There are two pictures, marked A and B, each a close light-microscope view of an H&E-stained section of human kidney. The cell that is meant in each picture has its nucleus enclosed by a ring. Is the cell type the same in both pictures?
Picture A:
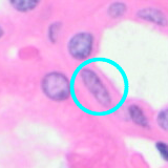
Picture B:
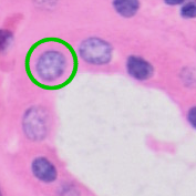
no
